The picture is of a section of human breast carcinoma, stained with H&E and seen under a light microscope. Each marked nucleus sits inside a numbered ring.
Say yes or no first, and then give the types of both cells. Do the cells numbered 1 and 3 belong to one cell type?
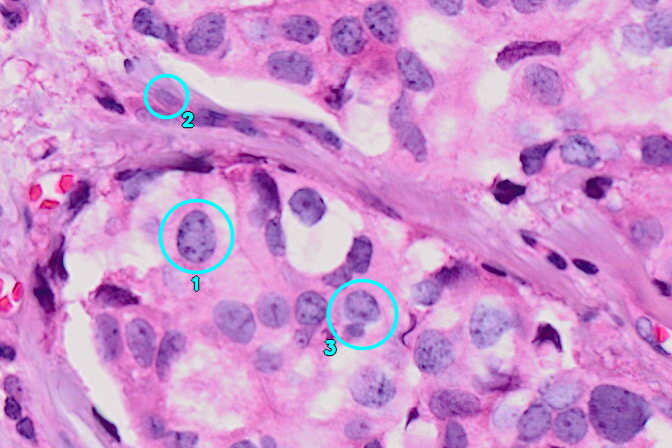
Yes, along with cell 1, cell 3 is also among the carcinoma cells.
